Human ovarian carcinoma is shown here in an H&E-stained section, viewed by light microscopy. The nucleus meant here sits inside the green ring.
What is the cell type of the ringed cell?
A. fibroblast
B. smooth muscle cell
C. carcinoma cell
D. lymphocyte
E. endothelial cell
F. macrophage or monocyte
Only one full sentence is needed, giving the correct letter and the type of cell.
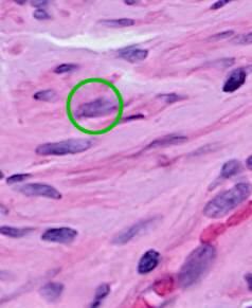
Option B matches the ringed cell, which is a smooth muscle cell.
